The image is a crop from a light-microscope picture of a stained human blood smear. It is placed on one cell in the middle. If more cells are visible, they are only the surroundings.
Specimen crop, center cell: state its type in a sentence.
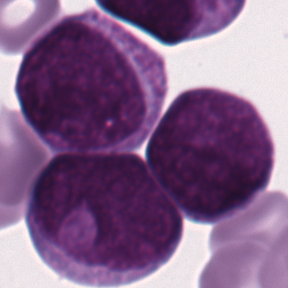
The cell of interest, in the center, is a blast.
